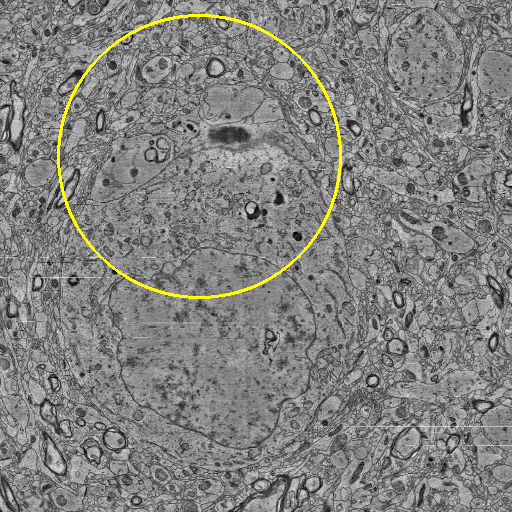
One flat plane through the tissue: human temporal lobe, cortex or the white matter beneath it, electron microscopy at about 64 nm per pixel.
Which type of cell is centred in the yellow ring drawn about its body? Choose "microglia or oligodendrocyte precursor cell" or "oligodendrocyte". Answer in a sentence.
The yellow ring surrounds the cell body of a microglial cell or oligodendrocyte precursor cell.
